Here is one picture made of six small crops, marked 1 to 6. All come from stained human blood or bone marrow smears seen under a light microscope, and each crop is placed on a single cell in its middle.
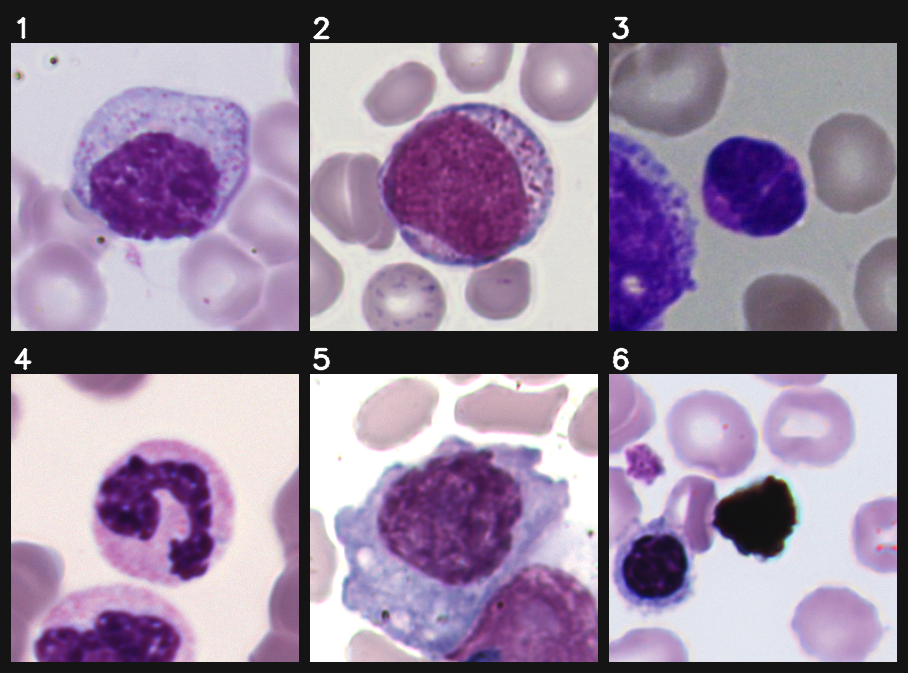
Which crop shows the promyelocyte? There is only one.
2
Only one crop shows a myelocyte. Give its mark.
1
